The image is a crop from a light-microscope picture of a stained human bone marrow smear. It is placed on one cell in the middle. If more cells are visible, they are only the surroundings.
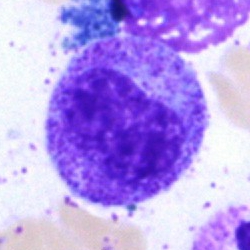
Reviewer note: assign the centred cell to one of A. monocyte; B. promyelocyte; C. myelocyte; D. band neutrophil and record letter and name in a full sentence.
The cell centred in the crop is a myelocyte, and the correct option is thus C.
